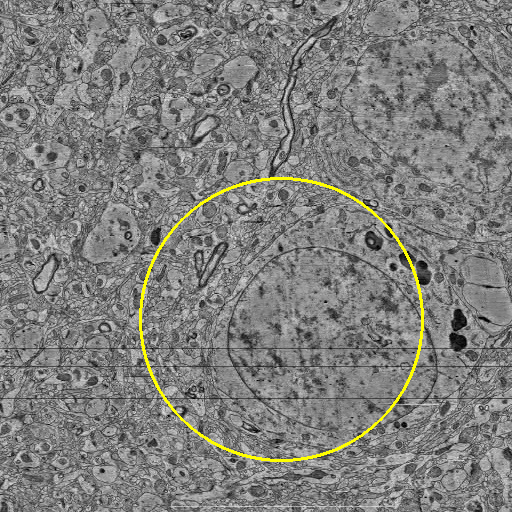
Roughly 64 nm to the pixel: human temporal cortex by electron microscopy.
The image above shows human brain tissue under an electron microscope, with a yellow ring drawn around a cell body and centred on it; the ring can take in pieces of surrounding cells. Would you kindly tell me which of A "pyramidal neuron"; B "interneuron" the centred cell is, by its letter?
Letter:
A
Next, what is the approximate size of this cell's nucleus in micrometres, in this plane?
The nucleus is approximately 14 micrometers long by 12 micrometers wide in this plane.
